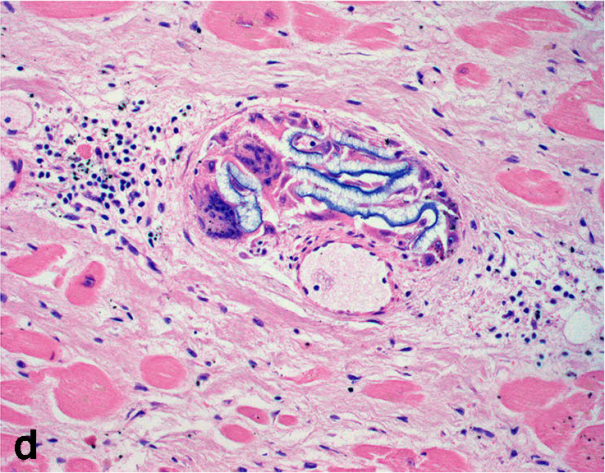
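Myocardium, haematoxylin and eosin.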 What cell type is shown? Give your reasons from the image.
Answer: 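Large cells with many clustered nuclei lie against the folded blue material. These cells sit inside a rounded vessel-like space within the myocardium. The answer: giant cells.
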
